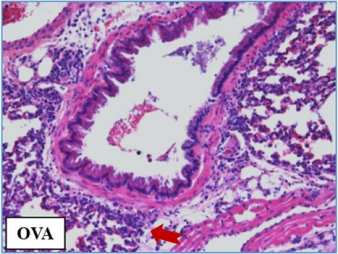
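A bronchiole in lung tissue is lined by a folded layer of columnar epithelial cells with purple nuclei and pink cytoplasm. Beneath the epithelium lies a thin band of pink smooth muscle and connective tissue. Around the airway, dense infiltrates of small cells with dark round nuclei crowd the surrounding tissue and extend between nearby vessels and alveoli. Pink-red material with scattered cells lies within the airway lumen. The neighbouring alveolar walls appear thickened and cellular.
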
